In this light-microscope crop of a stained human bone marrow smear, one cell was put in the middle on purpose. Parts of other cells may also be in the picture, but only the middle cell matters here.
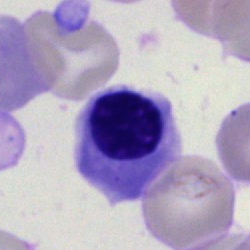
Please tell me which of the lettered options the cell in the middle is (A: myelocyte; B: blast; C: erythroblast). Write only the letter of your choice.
C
